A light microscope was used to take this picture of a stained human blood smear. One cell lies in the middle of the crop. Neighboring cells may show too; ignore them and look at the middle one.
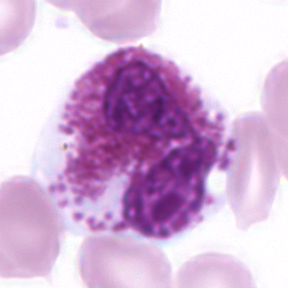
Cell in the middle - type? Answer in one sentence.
At the crop's centre, the cell is an eosinophil.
